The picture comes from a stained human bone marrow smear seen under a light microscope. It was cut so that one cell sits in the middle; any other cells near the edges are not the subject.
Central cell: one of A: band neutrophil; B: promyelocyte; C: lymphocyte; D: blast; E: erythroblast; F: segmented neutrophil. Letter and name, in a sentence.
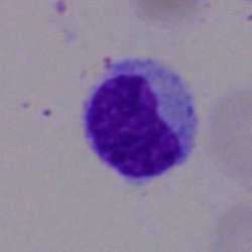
The cell placed in the middle is a lymphocyte; option C is correct.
